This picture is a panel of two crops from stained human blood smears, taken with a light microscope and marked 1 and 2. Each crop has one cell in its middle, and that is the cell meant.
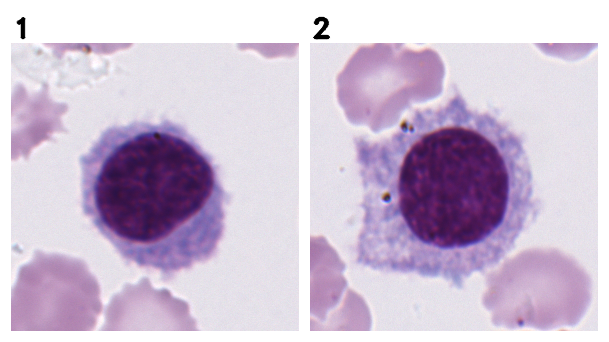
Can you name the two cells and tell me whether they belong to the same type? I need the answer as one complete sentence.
Yes, the two central cells, one per crop, are hairy cells.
